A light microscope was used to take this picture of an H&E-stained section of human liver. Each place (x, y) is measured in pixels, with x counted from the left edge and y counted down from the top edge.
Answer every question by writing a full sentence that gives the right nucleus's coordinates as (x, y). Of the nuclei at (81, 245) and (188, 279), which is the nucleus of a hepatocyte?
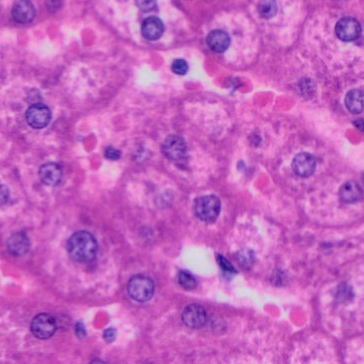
Between the pair, the nucleus at (81, 245) belongs to a hepatocyte.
